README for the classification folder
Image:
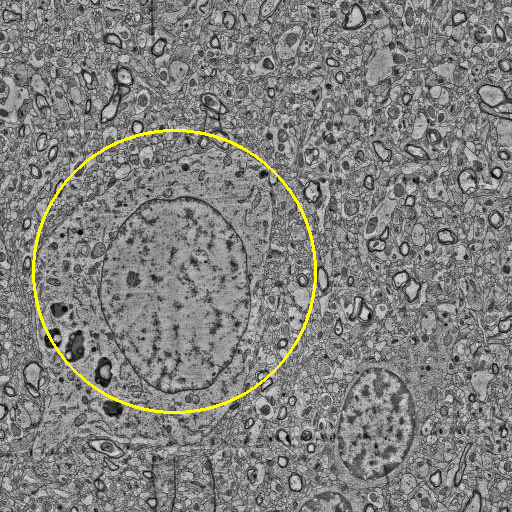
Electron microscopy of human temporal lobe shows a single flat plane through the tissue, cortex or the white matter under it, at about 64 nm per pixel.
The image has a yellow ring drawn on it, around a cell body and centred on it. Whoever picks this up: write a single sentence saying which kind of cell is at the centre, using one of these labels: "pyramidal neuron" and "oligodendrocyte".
This cell body is that of a pyramidal neuron.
